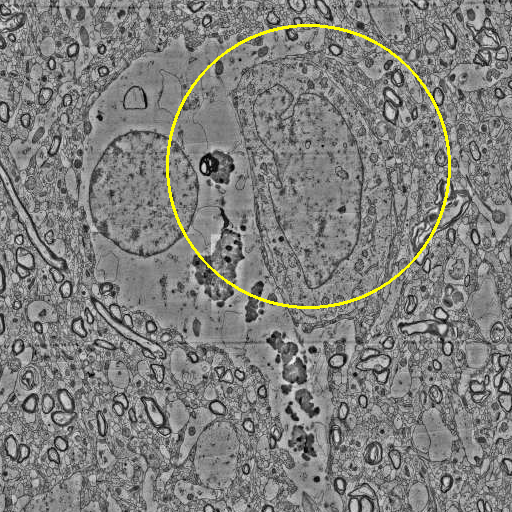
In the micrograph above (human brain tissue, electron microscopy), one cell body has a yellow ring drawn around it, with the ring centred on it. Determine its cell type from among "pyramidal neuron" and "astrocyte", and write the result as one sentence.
The cell whose body is ringed is a pyramidal neuron.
